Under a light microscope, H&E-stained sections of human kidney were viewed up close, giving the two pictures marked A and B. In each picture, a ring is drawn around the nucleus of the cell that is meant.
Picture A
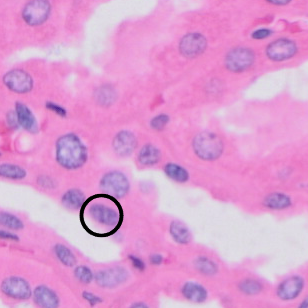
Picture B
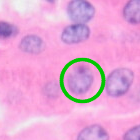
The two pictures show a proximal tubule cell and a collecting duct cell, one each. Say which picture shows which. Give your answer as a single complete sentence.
It is picture A that shows a collecting duct cell, and picture B that shows a proximal tubule cell.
